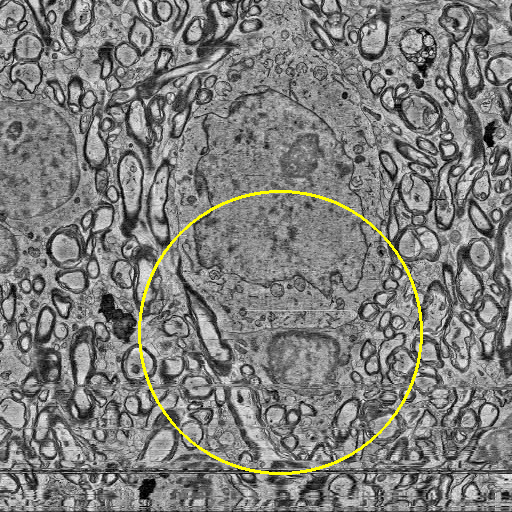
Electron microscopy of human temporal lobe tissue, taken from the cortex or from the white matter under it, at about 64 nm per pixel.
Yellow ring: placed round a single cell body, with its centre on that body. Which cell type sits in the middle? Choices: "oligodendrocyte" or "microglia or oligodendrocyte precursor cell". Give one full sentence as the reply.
It is an oligodendrocyte whose cell body sits at the centre of the yellow ring.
